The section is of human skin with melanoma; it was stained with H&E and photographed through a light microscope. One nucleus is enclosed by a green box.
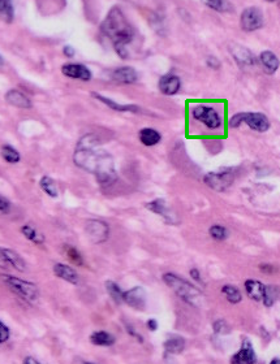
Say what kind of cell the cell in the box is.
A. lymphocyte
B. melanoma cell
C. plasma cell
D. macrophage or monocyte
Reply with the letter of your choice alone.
C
